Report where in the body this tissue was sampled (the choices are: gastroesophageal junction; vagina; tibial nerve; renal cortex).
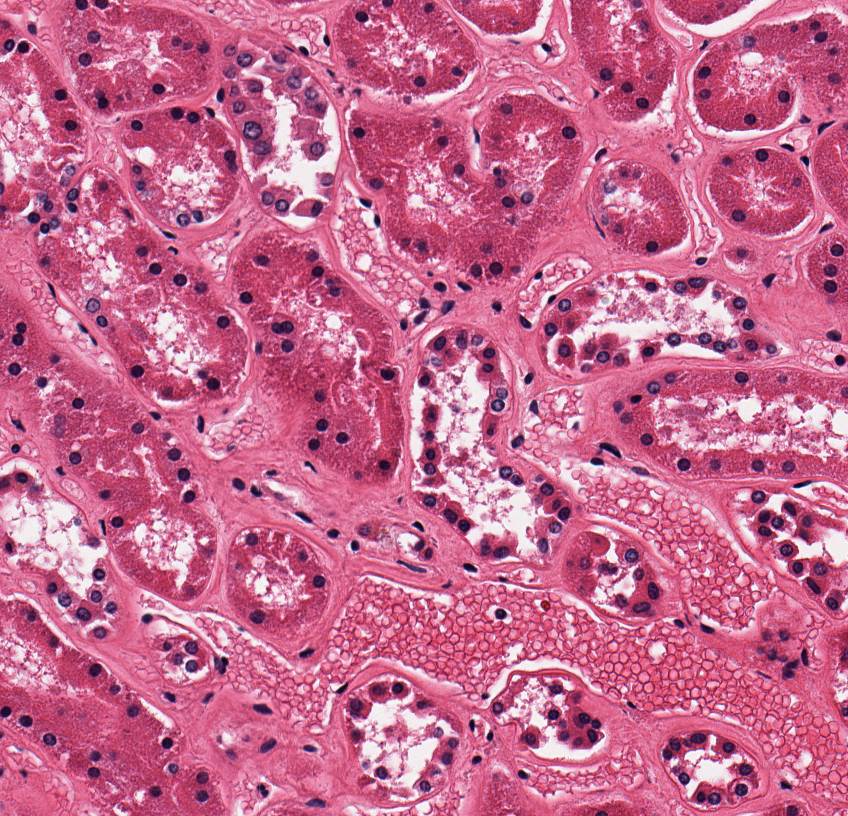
renal cortex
